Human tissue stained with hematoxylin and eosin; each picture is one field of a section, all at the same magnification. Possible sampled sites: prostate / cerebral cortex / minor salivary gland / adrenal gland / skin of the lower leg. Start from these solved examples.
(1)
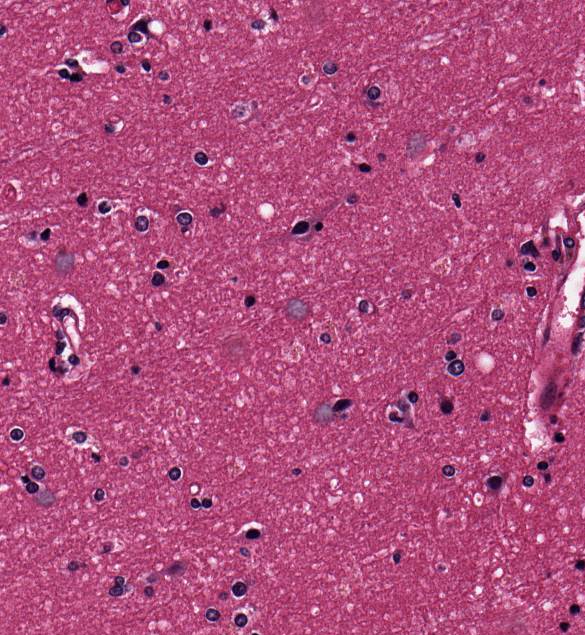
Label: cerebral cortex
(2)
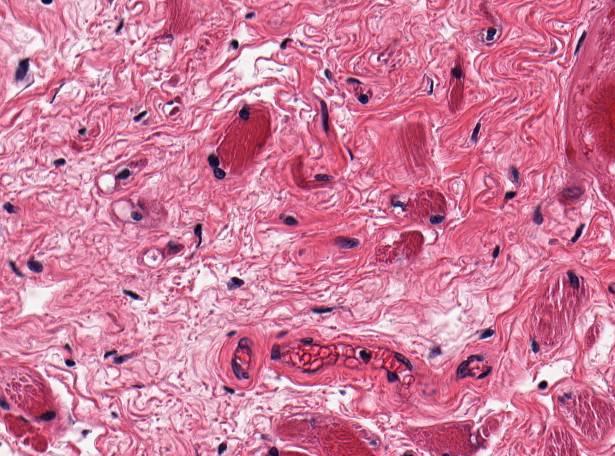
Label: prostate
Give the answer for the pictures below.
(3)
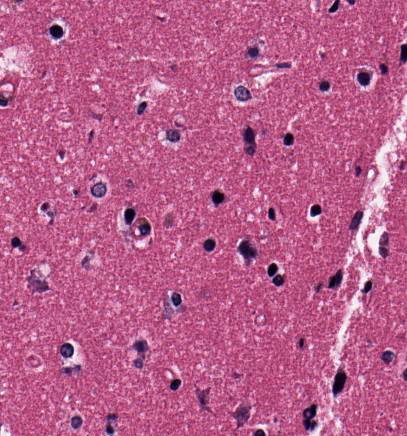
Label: cerebral cortex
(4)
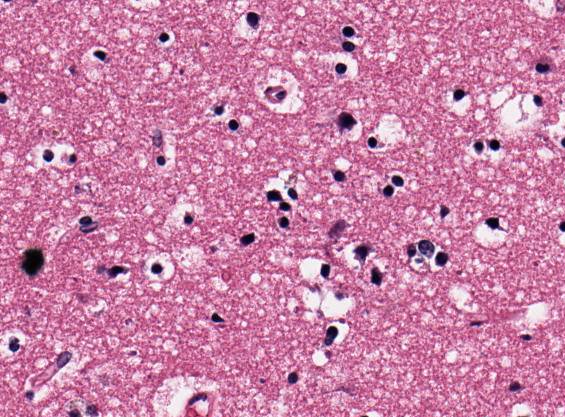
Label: cerebral cortex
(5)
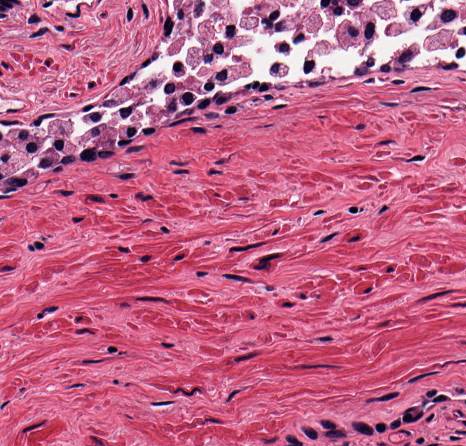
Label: prostate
